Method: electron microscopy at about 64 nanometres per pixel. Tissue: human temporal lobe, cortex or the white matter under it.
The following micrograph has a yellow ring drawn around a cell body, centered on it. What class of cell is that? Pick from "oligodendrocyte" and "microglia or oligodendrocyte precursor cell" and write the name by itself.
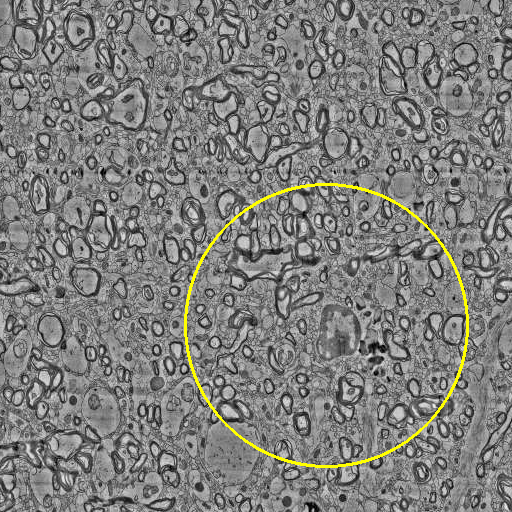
microglia or oligodendrocyte precursor cell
